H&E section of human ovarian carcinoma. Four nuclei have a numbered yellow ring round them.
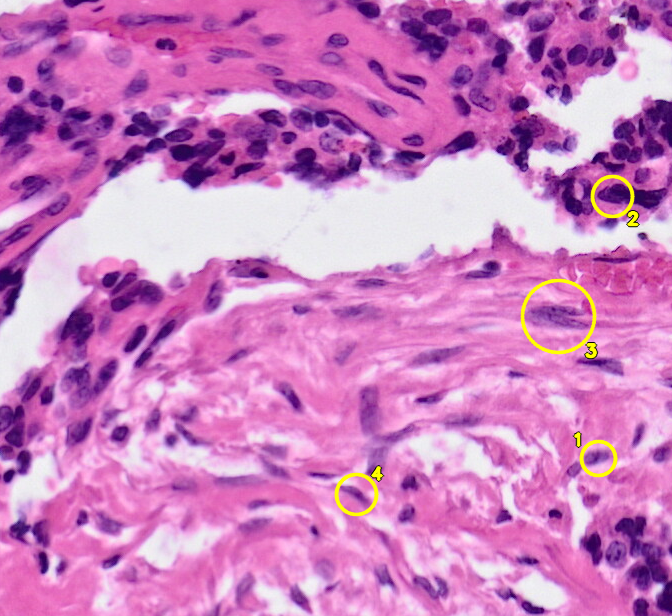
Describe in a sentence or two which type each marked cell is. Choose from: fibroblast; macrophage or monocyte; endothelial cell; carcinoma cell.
Cells 1, 3 and 4 are fibroblasts. Cell 2 is a carcinoma cell.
